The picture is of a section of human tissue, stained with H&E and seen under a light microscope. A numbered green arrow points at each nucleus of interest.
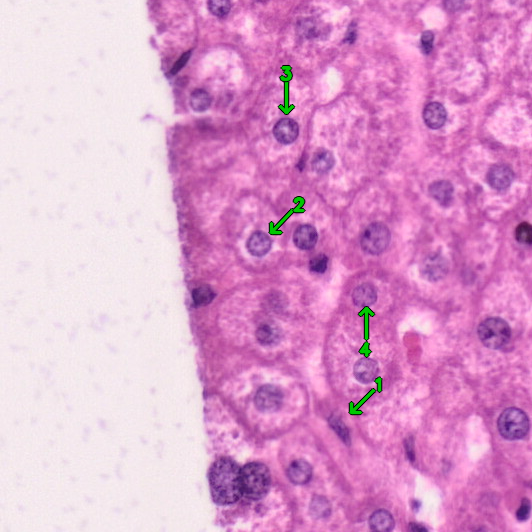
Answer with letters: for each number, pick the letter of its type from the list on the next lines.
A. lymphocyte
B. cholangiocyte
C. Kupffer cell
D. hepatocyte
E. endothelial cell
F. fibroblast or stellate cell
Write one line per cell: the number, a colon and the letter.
1: C
2: D
3: D
4: D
